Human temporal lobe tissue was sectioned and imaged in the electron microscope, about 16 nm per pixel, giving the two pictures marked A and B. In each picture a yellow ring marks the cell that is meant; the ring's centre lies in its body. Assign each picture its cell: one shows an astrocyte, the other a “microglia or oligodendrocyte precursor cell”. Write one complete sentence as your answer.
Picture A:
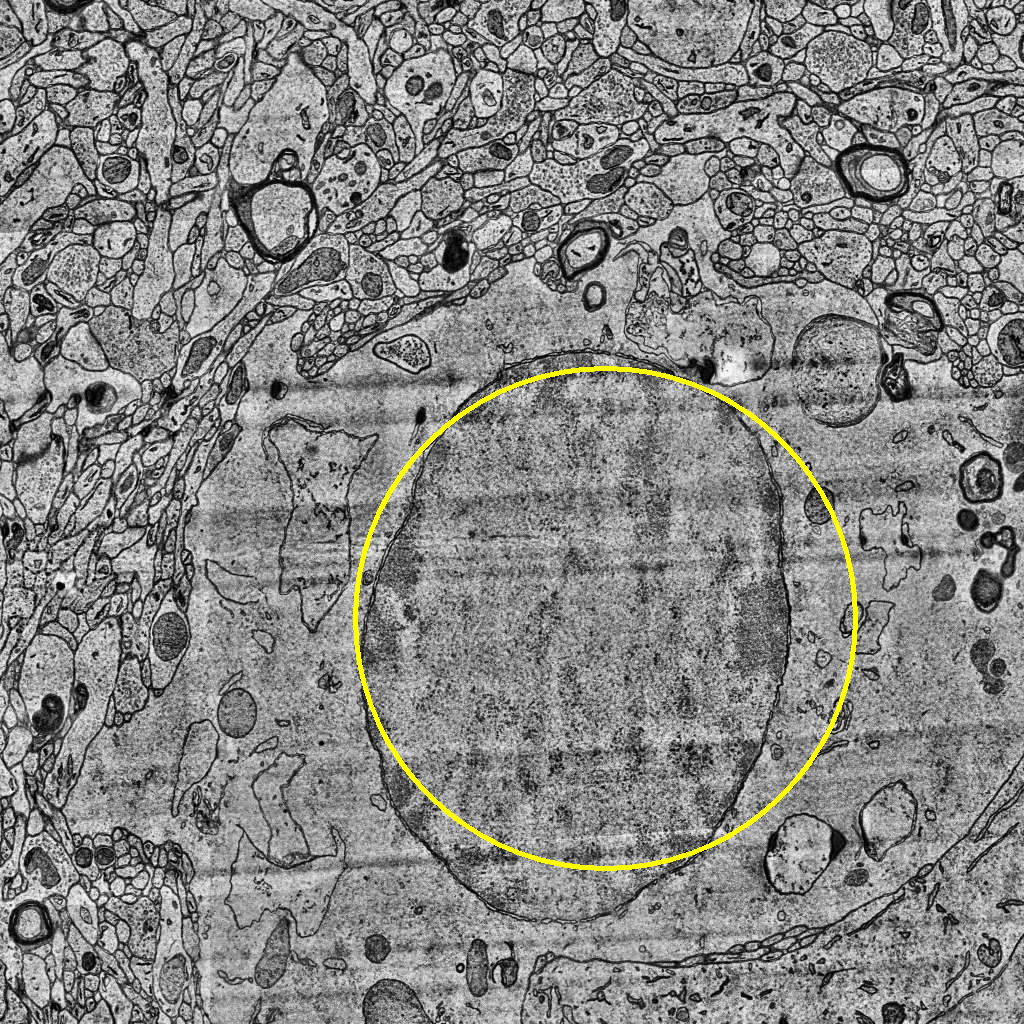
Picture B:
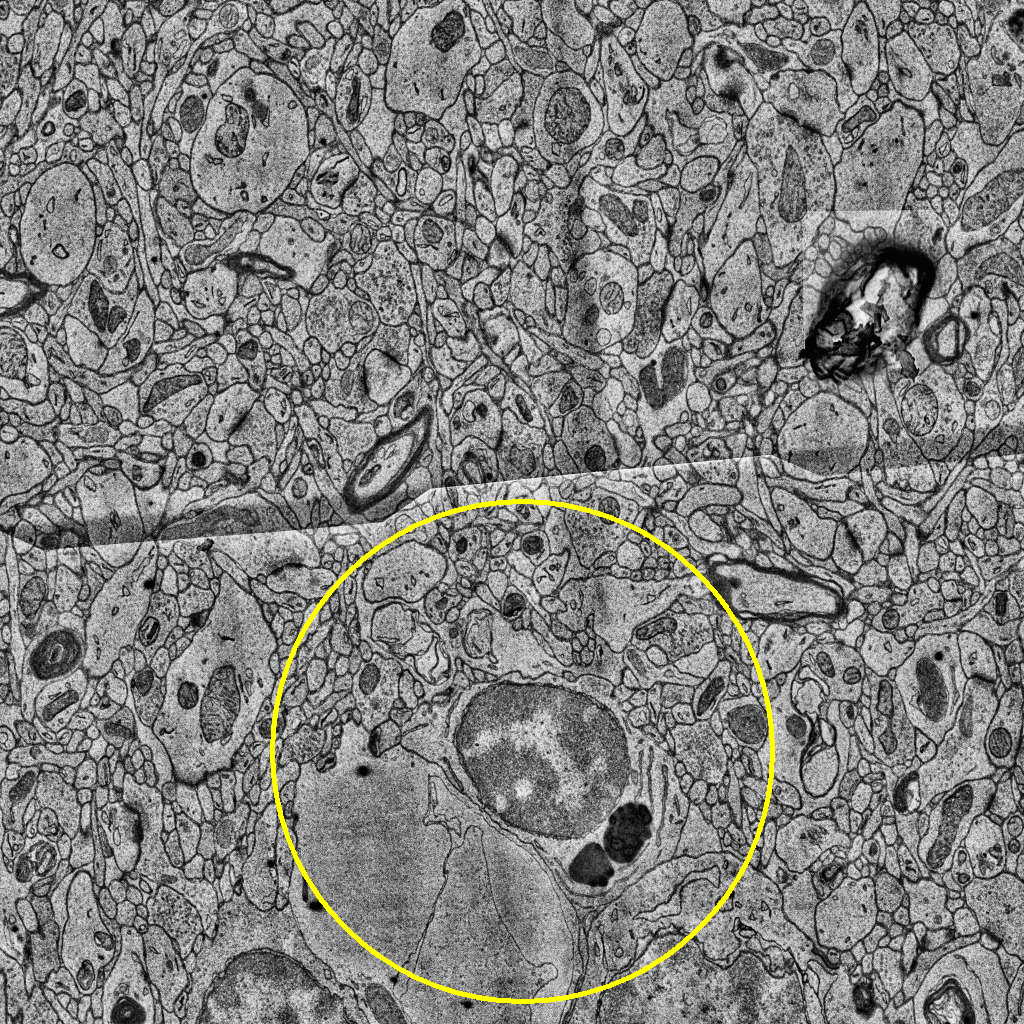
Picture B shows a “microglia or oligodendrocyte precursor cell”, while picture A shows an astrocyte.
